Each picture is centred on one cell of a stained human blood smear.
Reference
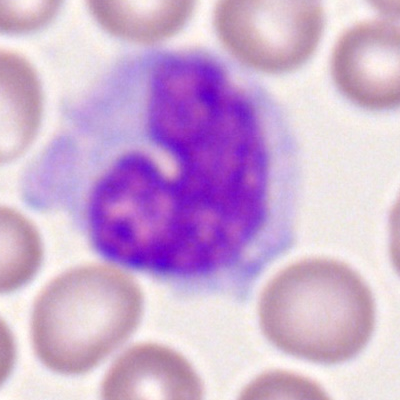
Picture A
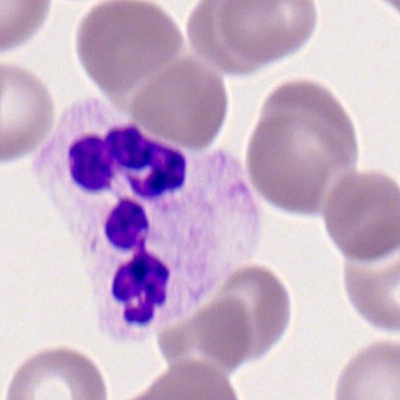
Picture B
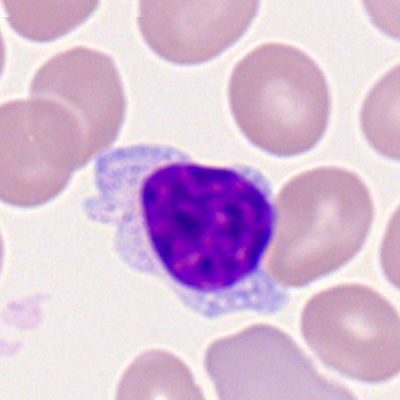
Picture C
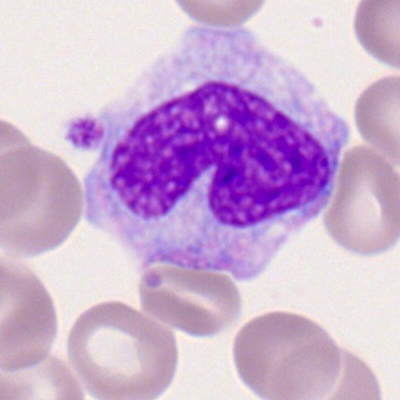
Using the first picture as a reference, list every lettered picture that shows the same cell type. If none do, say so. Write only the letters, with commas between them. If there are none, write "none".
C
